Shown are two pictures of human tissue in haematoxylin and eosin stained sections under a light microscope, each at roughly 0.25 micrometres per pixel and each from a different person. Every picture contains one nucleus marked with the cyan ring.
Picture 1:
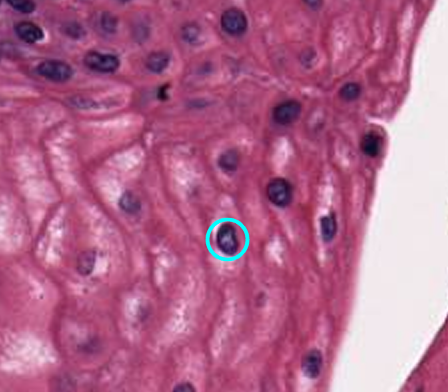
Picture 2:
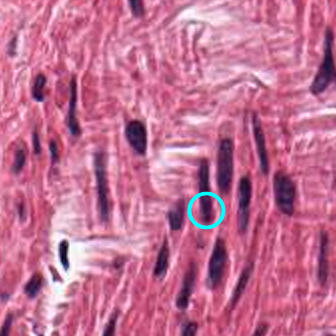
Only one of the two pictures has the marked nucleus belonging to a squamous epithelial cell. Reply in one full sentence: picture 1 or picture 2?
Between the two pictures, it is picture 1 whose marked nucleus belongs to a squamous epithelial cell.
